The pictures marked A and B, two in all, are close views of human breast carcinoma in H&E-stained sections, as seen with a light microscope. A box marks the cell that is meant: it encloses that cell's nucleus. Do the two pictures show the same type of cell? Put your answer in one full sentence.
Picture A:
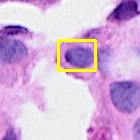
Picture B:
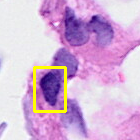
Yes, both cells are carcinoma cells.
